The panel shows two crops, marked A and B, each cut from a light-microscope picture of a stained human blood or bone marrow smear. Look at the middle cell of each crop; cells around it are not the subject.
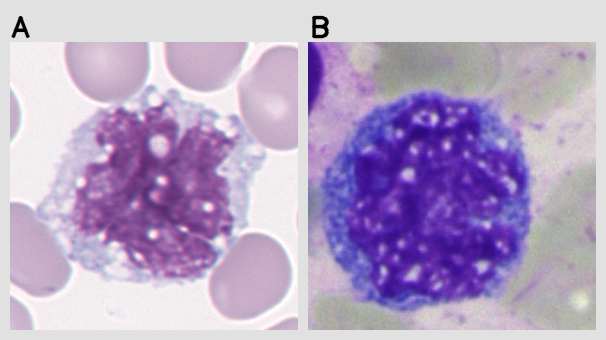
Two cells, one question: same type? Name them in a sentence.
Yes, as shown in both crops, the central cells are monocytes.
